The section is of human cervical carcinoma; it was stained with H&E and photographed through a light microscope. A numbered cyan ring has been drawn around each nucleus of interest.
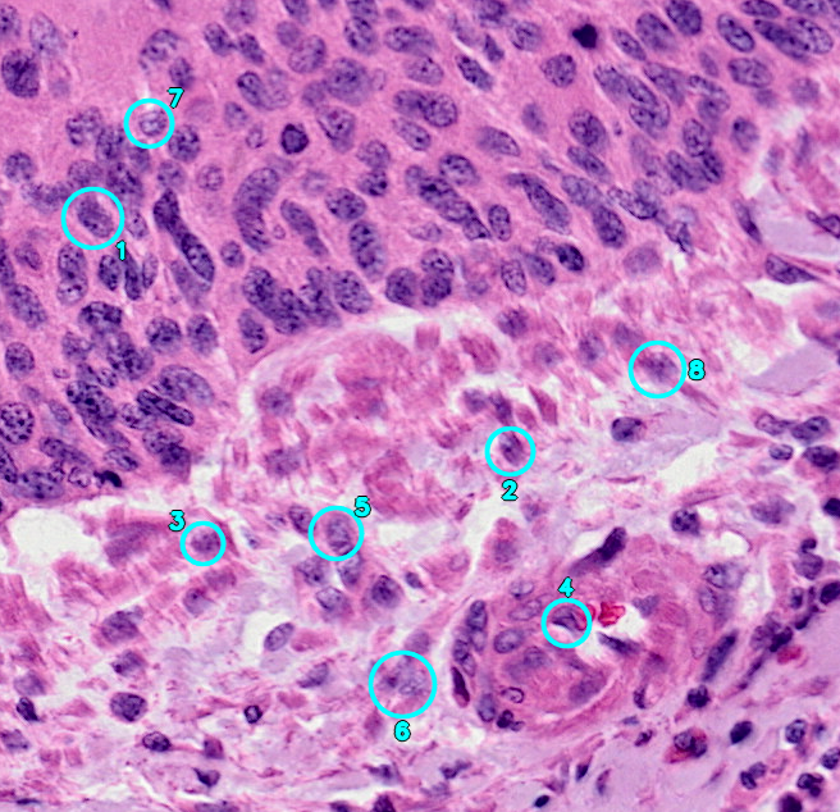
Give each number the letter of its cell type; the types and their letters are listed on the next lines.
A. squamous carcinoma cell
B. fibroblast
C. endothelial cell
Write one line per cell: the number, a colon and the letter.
1: A
2: B
3: B
4: C
5: C
6: B
7: A
8: B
